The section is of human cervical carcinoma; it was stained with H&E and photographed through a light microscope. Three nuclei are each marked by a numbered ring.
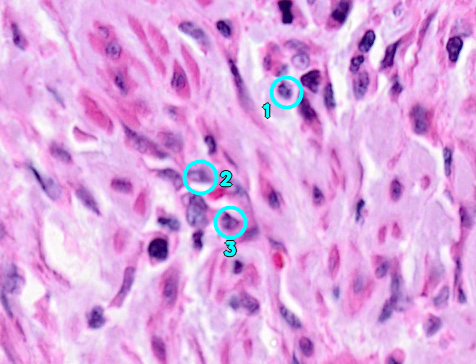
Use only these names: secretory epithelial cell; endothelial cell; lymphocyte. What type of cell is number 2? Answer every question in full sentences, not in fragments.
That cell with number 2 is an endothelial cell.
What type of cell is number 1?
Cell 1 of the marked set is a lymphocyte.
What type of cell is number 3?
Denoted by the label 3 in the section is an endothelial cell.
